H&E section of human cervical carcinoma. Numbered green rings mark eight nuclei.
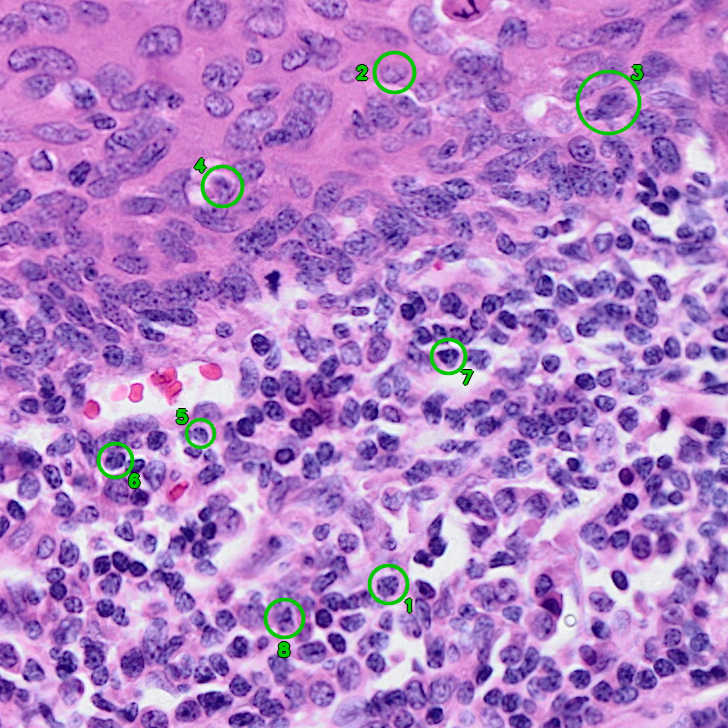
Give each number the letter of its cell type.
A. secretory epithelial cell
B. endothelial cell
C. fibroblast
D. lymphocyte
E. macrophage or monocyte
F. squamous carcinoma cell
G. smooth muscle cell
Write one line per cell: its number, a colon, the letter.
1: D
2: F
3: F
4: F
5: D
6: D
7: D
8: D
